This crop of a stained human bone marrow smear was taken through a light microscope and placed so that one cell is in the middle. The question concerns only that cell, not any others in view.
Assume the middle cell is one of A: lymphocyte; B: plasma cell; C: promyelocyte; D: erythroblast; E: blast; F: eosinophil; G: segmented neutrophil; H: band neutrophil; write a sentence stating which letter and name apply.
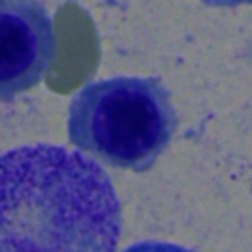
The expected answer is option D, the central cell being an erythroblast.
